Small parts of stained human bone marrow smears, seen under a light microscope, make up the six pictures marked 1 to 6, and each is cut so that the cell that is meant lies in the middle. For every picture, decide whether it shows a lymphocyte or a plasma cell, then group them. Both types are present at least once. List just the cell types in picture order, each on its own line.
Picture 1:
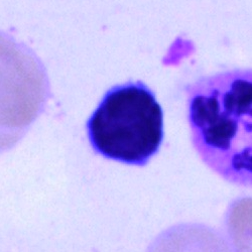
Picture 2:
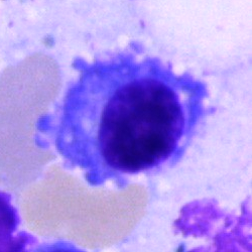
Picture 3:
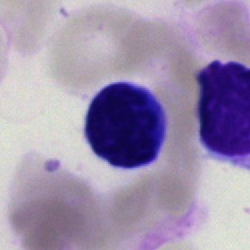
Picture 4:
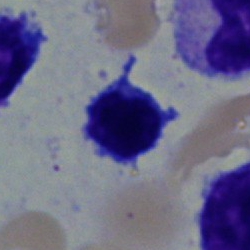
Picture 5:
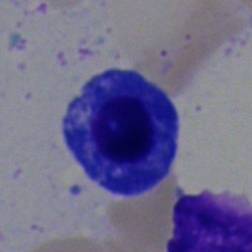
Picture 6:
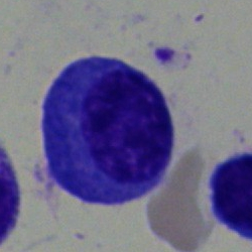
lymphocyte
plasma cell
lymphocyte
lymphocyte
plasma cell
plasma cell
